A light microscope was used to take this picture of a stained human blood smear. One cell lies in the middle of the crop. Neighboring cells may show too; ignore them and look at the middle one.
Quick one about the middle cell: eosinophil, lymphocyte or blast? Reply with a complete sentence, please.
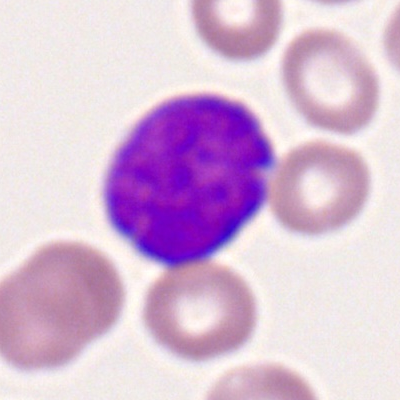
Here the centrally located cell is a blast.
